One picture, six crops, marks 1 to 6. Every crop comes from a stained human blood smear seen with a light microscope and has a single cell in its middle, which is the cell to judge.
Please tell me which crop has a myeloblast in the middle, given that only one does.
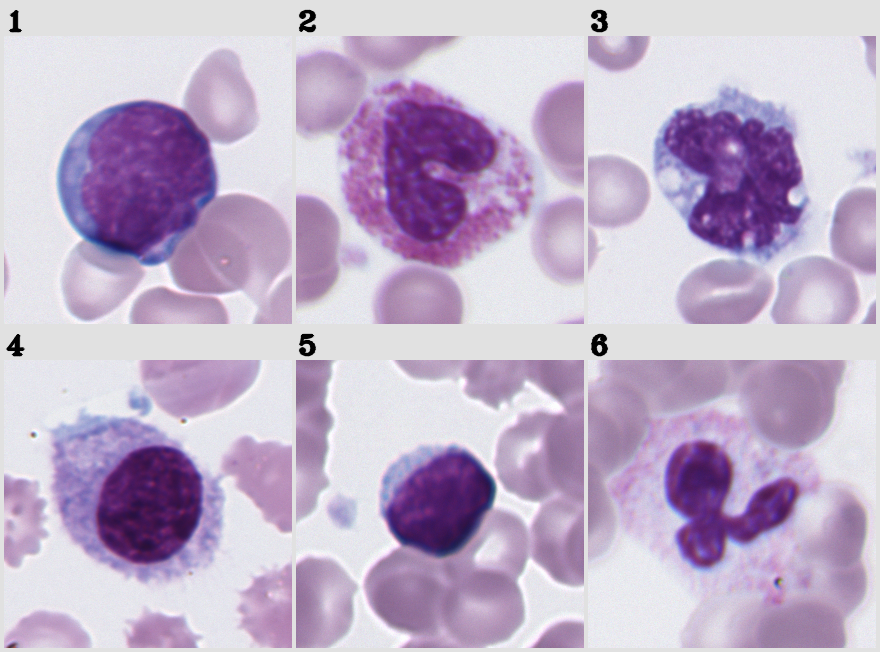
1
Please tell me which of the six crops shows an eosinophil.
2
